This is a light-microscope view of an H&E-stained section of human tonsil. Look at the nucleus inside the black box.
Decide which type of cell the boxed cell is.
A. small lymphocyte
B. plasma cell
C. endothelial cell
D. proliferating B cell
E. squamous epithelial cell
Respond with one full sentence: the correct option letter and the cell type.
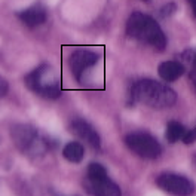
Option E describes the boxed cell accurately as a squamous epithelial cell.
